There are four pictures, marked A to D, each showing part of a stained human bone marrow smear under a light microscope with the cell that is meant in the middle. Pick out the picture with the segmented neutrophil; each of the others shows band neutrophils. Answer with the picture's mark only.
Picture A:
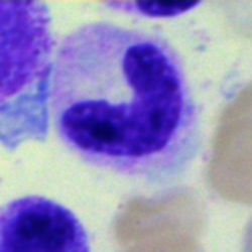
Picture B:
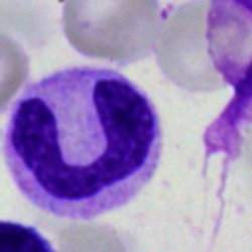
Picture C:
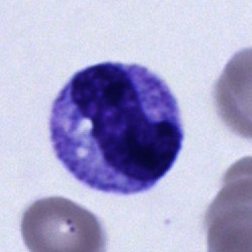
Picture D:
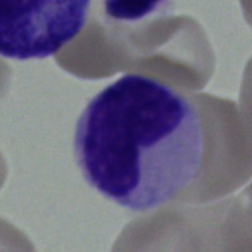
B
